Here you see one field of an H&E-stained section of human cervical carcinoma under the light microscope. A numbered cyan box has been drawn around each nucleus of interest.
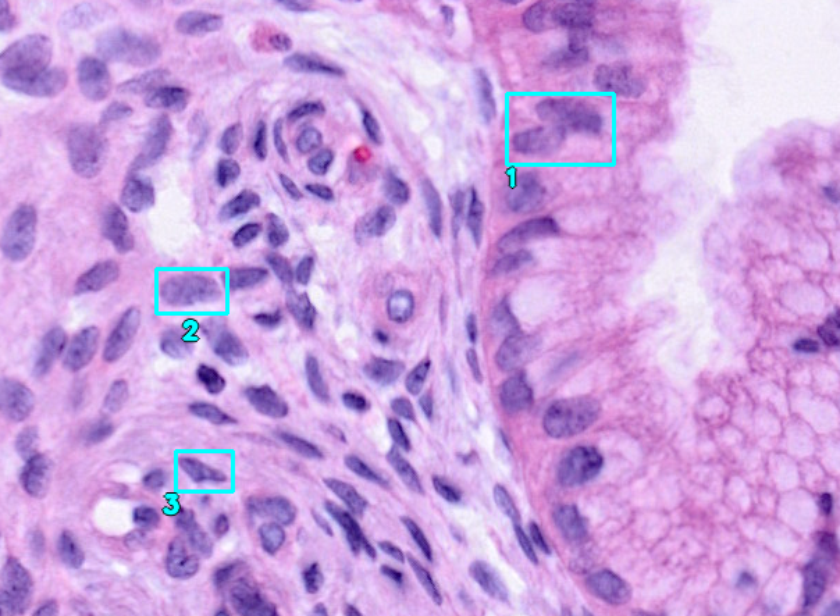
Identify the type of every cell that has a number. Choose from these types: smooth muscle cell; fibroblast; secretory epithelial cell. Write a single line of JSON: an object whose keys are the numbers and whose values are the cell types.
{"1": "secretory epithelial cell", "2": "fibroblast", "3": "fibroblast"}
